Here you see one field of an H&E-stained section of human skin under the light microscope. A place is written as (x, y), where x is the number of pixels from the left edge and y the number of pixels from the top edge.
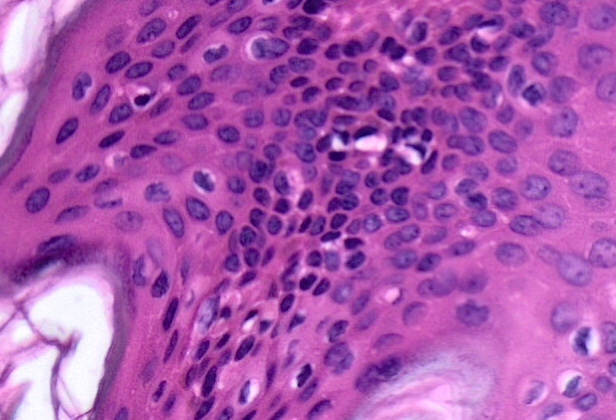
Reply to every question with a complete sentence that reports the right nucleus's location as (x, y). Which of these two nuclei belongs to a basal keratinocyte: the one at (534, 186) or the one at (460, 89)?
The nucleus whose cell is a basal keratinocyte is the one at (460, 89).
